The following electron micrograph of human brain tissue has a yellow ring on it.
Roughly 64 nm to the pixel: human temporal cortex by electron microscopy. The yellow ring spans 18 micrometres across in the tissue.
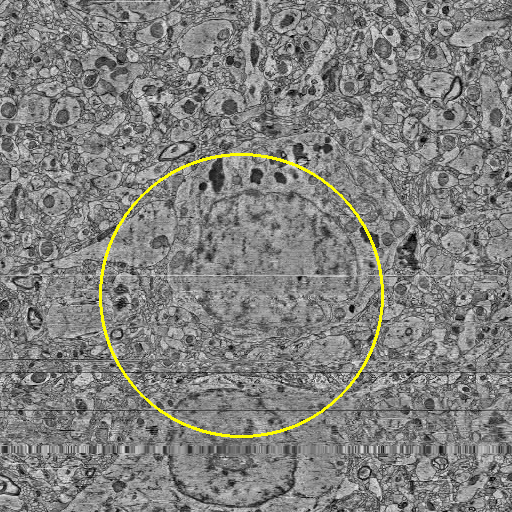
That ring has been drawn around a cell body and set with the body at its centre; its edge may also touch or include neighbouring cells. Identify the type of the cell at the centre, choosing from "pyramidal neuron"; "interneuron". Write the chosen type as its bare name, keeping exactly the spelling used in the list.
interneuron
